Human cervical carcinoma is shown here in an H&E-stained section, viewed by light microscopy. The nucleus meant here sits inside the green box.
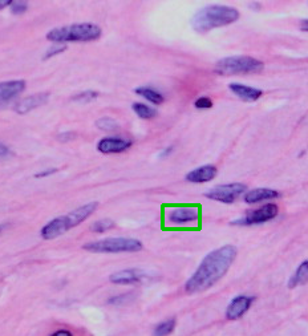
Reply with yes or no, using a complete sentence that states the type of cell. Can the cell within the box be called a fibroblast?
Yes, a fibroblast is what the cell within the box represents in this tissue.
